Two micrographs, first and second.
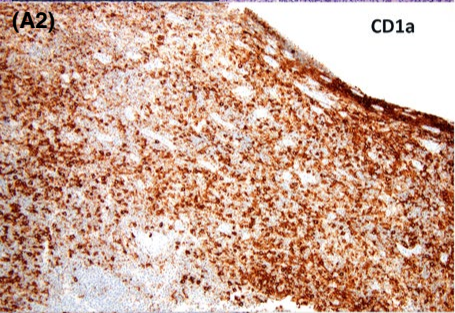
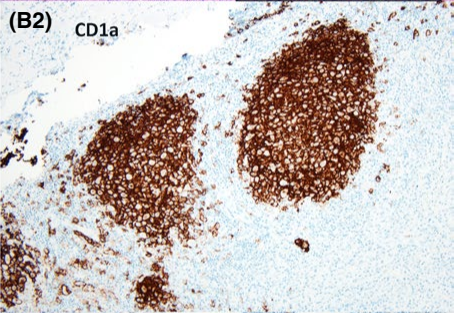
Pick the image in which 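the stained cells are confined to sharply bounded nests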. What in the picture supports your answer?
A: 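The second image. Second image: brown cells lie in discrete rounded nests in unstained tissue. First image: brown cells are spread diffusely over most of the tissue.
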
